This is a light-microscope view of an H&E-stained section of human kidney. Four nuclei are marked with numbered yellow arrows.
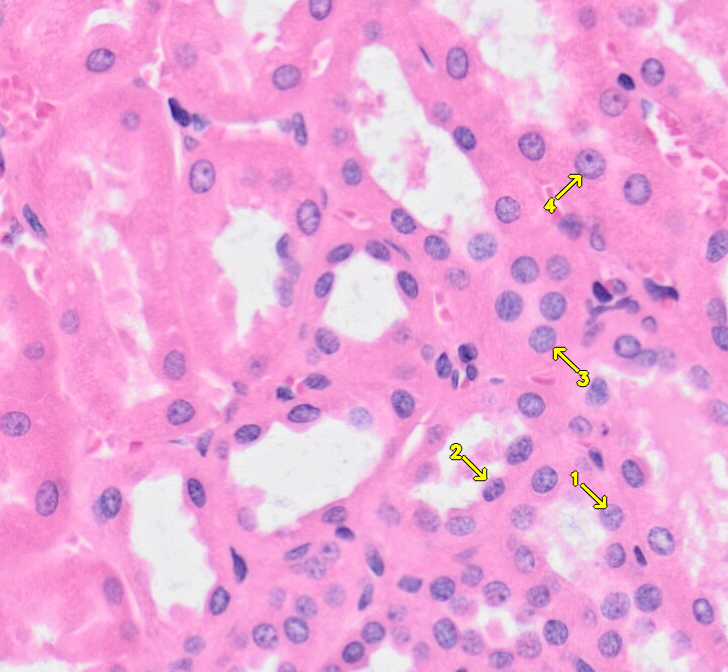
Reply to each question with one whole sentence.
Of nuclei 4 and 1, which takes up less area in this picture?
Number 1 is smaller, since number 4 takes up about 1.5 times as much area.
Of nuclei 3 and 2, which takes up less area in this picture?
Nucleus 2 covers less area, with nucleus 3 about 1.5 times as large.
